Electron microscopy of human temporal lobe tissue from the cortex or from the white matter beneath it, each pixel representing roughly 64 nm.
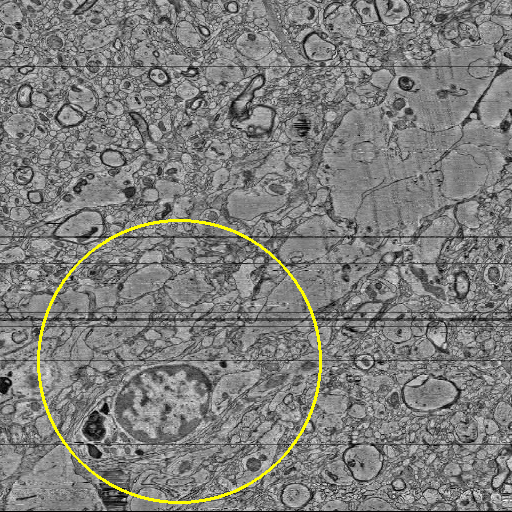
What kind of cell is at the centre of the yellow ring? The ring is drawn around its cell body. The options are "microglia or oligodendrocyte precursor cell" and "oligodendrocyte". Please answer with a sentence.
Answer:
The yellow ring marks the cell body of a microglial cell or oligodendrocyte precursor cell.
